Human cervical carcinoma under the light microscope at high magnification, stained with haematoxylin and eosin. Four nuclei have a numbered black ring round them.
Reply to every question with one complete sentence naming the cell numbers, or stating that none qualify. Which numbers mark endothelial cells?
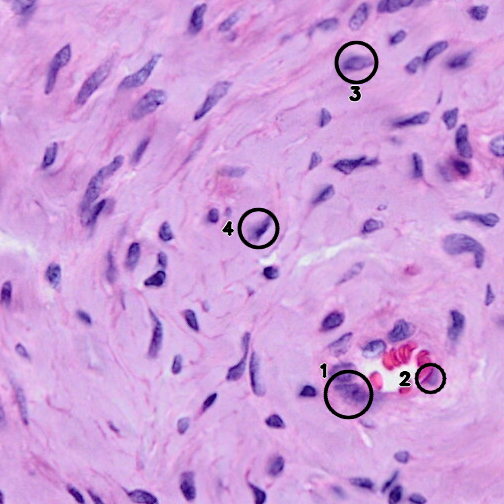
The cells numbered 1 and 2 are of one kind: endothelial cells.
